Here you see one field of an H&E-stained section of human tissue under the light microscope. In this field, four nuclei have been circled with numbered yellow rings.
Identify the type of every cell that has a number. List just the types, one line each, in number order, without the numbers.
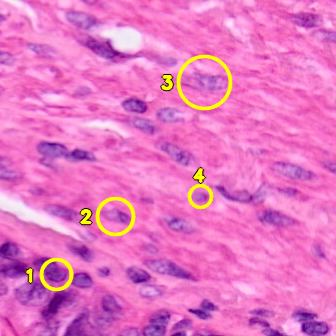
ciliated epithelial cell
smooth muscle cell or pericyte
smooth muscle cell or pericyte
smooth muscle cell or pericyte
